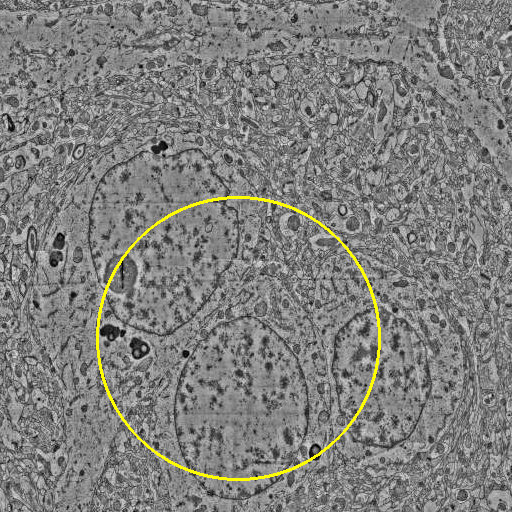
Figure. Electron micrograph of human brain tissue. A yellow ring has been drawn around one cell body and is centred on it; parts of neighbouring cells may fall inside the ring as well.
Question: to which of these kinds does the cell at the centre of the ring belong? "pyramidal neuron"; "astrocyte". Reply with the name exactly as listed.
pyramidal neuron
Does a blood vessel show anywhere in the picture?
No, the picture includes no blood vessel.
